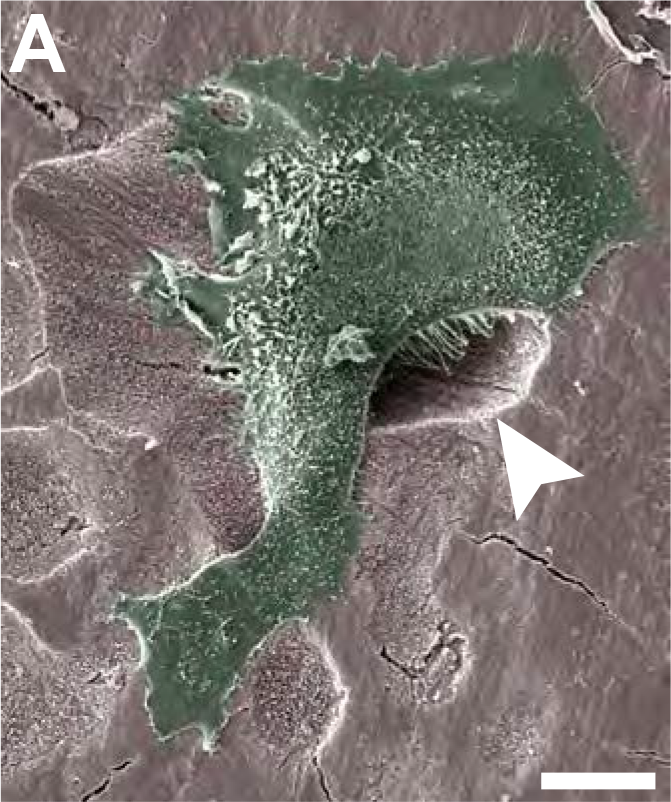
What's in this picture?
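A large, flattened osteoclast is spread over a bone surface. Its upper surface is studded with small ruffles and projections. Beside it, a deep trench has been cut into the bone.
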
